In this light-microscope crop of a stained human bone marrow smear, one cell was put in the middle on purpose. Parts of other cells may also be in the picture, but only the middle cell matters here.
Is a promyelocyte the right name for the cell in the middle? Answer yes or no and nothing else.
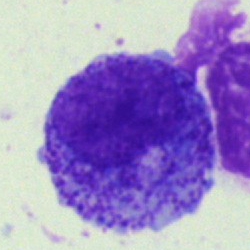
yes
